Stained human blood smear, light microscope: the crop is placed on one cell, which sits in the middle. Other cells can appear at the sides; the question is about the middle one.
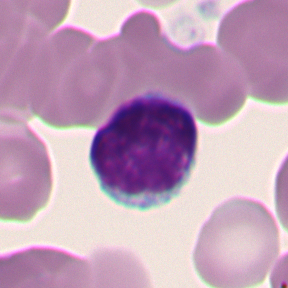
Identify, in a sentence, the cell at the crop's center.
The cell in the middle of the field of view is a lymphocyte.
